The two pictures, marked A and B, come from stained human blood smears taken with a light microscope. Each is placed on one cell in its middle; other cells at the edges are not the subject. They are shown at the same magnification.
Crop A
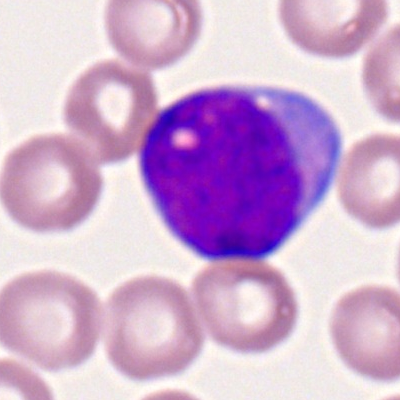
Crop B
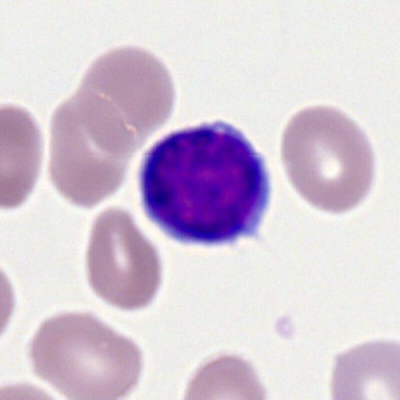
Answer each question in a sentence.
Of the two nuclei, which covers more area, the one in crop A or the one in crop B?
Crop A shows the larger nucleus; it covers about 2 times the area of the nucleus in crop B.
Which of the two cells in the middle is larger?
The cell in crop A is larger, with about 2 times the area of the one in crop B.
